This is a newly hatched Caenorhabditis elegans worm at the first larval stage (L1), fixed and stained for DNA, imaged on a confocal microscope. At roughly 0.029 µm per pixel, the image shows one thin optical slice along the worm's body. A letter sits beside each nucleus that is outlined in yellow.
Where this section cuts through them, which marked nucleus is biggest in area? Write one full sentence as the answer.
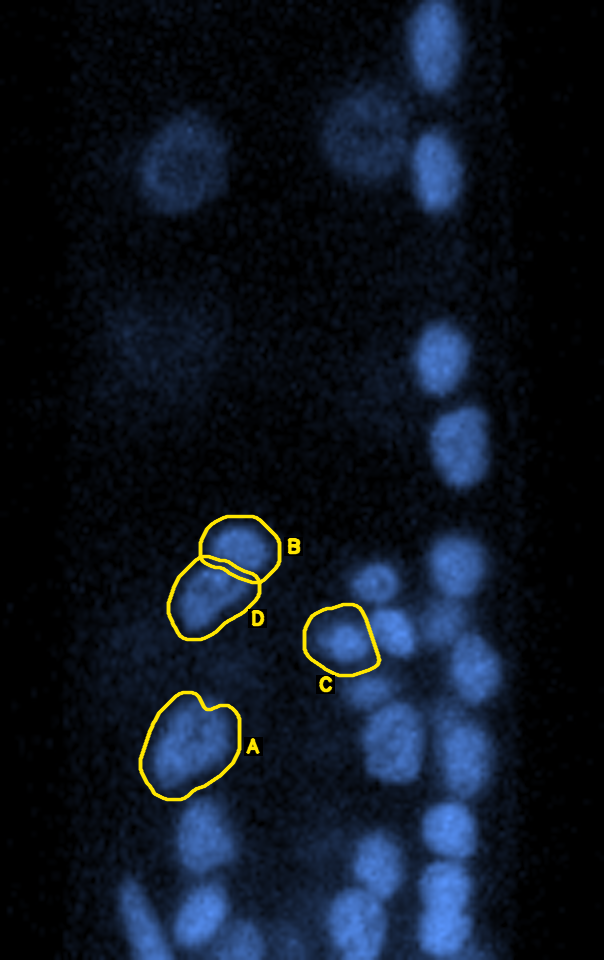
The largest cut area is that of A.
